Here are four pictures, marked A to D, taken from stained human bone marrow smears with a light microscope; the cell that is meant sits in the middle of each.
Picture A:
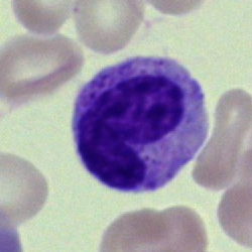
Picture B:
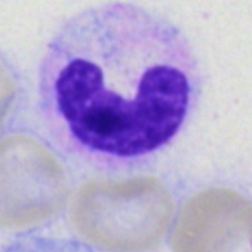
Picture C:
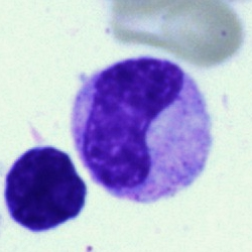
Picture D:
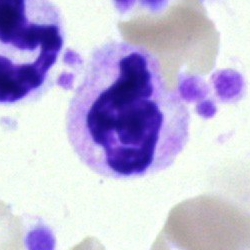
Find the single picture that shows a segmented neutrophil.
D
